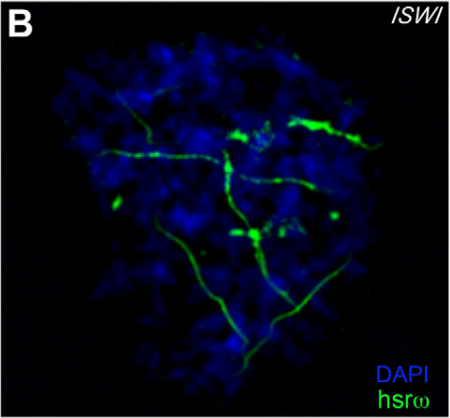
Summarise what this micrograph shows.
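This is a single large nucleus with blue chromatin in which the green nuclear signal forms long trail-like threads instead of dots. The threads are thin and wavy, running in several directions across the nucleus. Some threads carry thicker bright knots along their length. Only a few isolated green spots remain apart from the threads.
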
